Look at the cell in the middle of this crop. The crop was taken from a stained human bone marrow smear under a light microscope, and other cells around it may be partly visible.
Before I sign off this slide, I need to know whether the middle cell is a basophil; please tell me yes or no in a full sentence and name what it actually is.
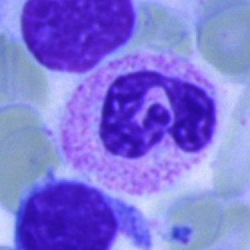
No, the cell at the centre is categorised not as a basophil but as a segmented neutrophil.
